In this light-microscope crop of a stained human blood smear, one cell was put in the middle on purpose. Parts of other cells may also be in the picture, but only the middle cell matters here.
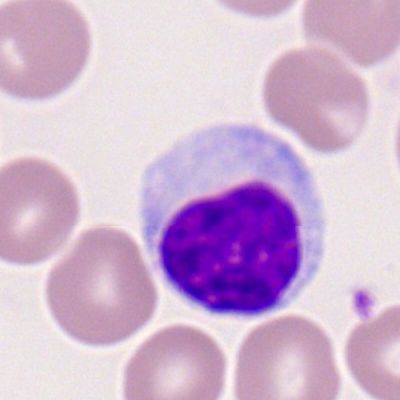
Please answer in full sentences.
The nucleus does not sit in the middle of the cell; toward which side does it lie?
Toward the bottom of the cell lies its nucleus.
